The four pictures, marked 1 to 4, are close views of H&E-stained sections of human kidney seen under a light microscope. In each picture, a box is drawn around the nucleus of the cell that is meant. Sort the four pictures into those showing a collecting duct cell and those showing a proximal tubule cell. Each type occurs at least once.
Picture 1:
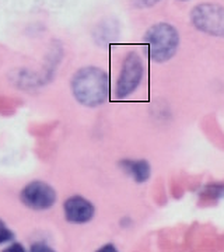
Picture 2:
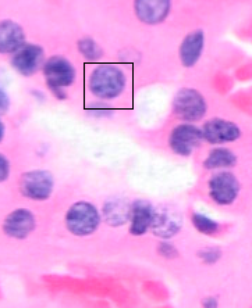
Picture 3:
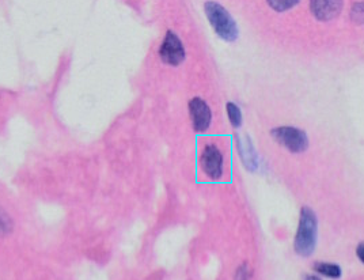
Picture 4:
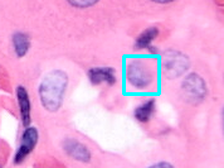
1: collecting duct cell
2: collecting duct cell
3: proximal tubule cell
4: collecting duct cell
